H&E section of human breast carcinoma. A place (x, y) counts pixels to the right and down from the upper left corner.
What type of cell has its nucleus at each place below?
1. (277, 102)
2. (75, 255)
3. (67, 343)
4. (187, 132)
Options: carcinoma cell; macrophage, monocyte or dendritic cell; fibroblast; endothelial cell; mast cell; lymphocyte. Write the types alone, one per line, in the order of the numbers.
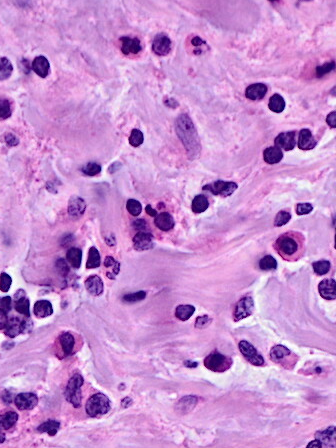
lymphocyte
lymphocyte
mast cell
fibroblast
